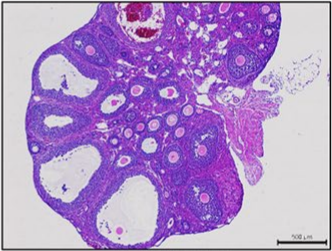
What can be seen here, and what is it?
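Low-power section of ovary with follicles at many stages. Several large antral follicles with clear, fluid-filled cavities lined by a dark purple rim of granulosa cells; some of these still hold an oocyte within the cavity or its wall. Numerous smaller immature follicles, each a round oocyte surrounded by granulosa cells, are scattered through pink stroma. A small focus of red blood lies at the upper edge.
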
